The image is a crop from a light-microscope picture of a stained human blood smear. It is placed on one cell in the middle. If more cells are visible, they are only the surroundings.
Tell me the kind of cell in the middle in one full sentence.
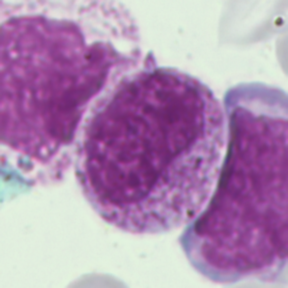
The middle cell in this particular crop is a myelocyte.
